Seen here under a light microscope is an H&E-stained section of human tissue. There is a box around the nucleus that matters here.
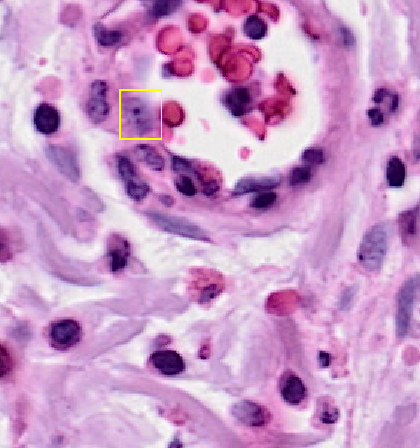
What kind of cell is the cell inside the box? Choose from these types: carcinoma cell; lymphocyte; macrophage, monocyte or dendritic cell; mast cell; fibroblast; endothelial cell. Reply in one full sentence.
In the tissue under study, the cell inside the box is an endothelial cell.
